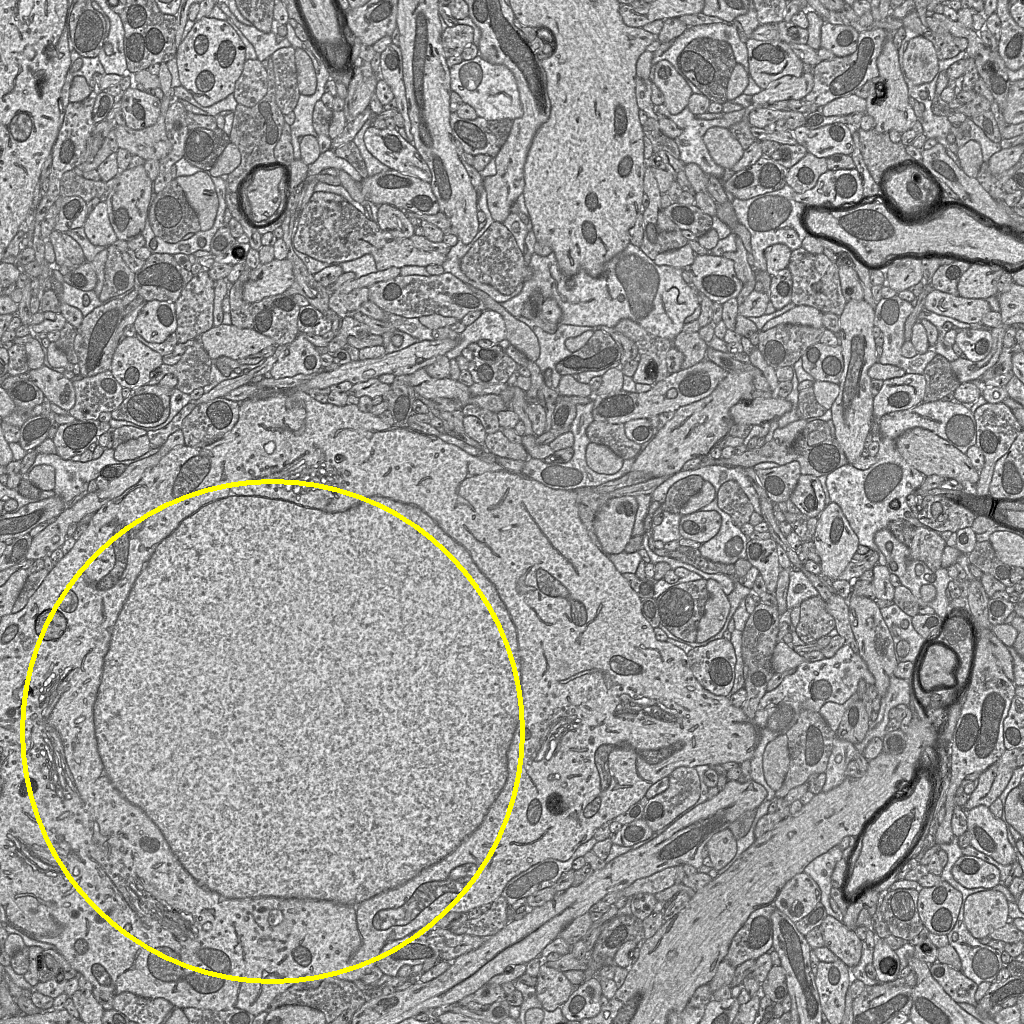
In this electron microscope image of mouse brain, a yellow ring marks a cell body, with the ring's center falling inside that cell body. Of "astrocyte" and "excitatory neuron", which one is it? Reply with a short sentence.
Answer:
It is an excitatory neuron at the center of the ring.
